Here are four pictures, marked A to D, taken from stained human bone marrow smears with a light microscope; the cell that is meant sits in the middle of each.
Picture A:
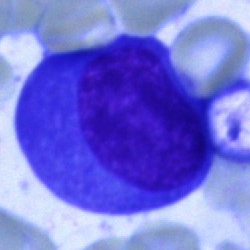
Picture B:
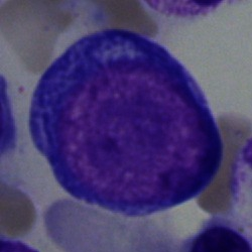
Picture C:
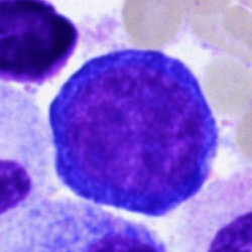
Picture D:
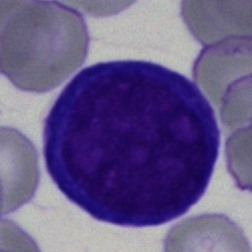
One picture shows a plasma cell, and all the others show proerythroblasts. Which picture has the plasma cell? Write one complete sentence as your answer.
The plasma cell is the one in picture A.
